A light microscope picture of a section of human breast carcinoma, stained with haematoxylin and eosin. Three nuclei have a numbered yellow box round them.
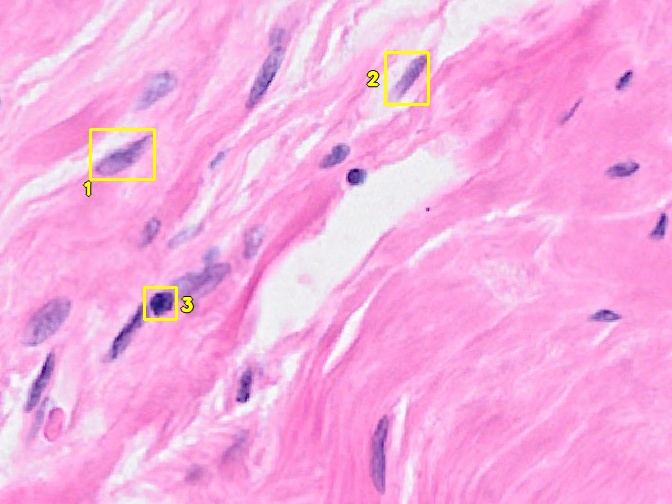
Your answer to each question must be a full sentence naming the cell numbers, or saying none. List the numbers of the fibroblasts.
In short, the numbered cells 1 and 2 are fibroblasts.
